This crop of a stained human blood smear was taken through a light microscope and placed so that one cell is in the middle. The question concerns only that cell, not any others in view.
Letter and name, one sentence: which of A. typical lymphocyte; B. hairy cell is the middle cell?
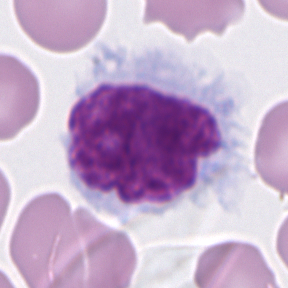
Option B is right, the centrally situated cell being a hairy cell.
